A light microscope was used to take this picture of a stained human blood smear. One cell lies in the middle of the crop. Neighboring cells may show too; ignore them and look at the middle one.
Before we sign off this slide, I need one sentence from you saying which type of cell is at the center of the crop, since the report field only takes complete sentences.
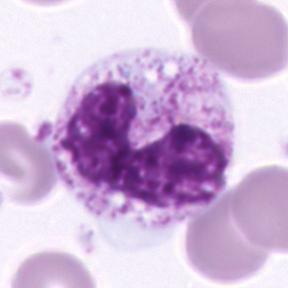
Among the cells in view, the one in the middle is a band neutrophil.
